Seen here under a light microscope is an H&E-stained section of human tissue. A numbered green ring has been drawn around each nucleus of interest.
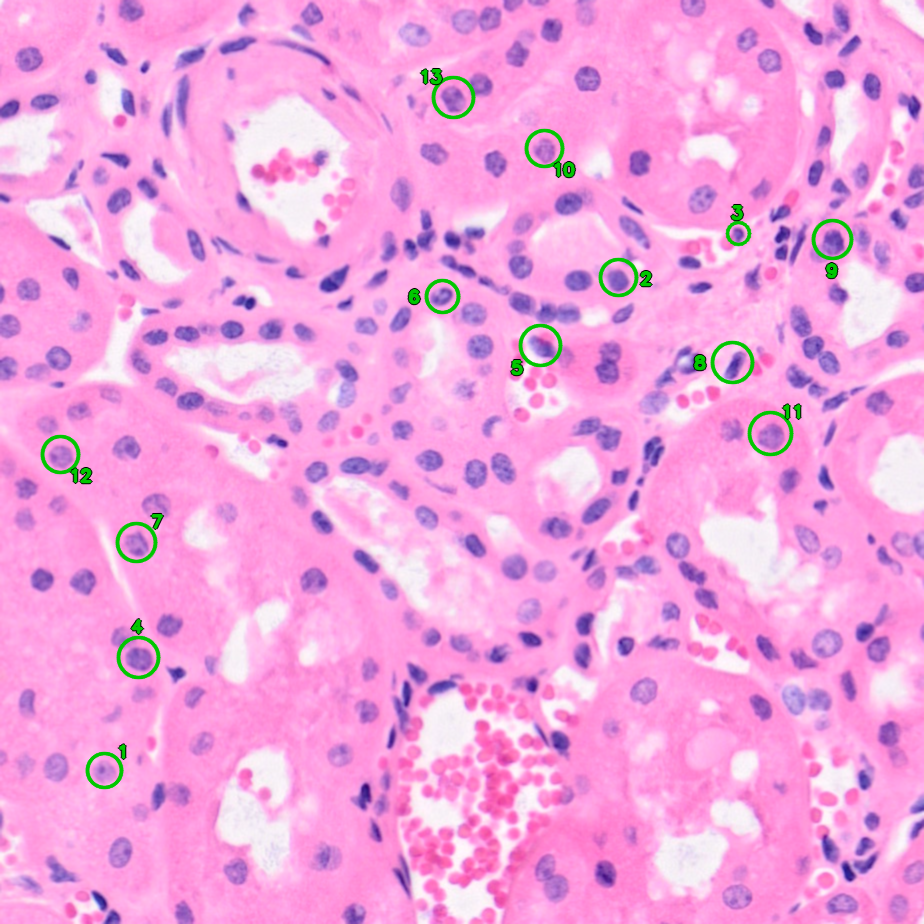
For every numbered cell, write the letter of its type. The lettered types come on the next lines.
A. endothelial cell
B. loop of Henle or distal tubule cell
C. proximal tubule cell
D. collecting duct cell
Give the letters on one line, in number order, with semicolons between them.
C; D; A; C; A; D; C; A; D; C; C; C; C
